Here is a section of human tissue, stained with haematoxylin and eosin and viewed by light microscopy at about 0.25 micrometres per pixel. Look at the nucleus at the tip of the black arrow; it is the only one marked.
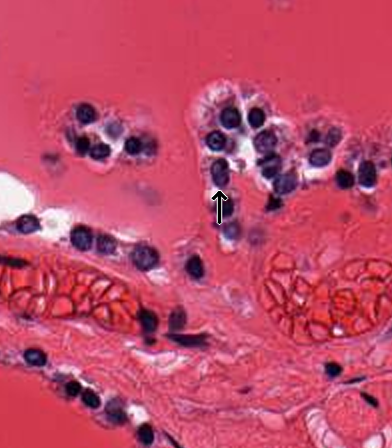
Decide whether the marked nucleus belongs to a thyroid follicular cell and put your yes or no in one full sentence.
Yes, the marked nucleus is held by a thyroid follicular cell.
